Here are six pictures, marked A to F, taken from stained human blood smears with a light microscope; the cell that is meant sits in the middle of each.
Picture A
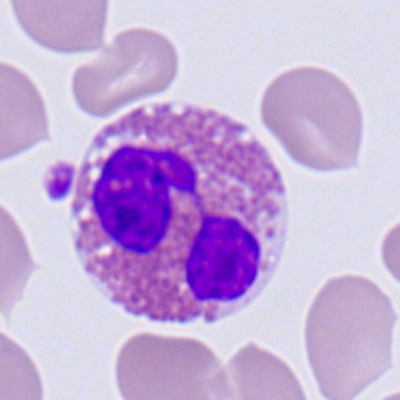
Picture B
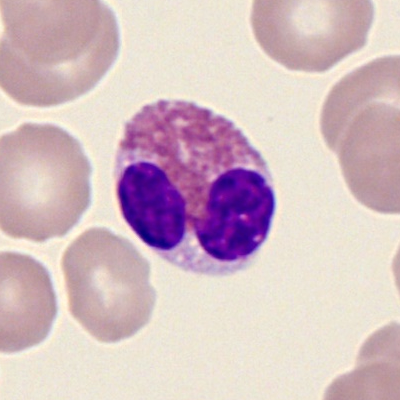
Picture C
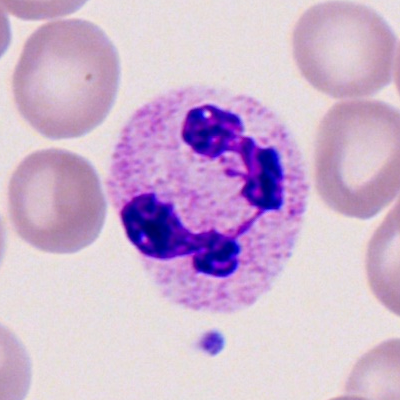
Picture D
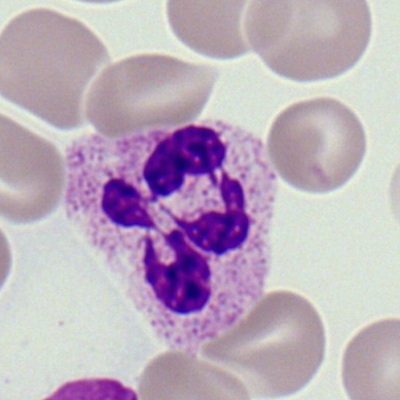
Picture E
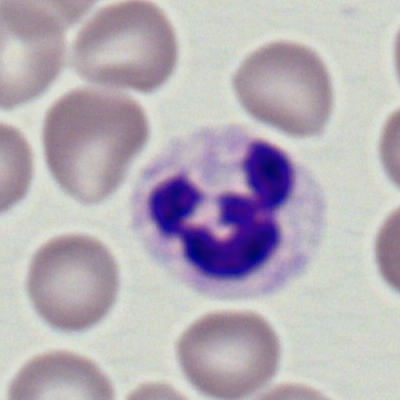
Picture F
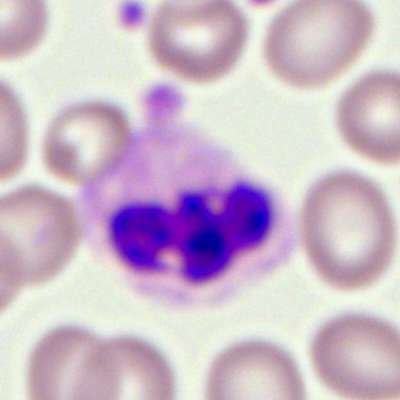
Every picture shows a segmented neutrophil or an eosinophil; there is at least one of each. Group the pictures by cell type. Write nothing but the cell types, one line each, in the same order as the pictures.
eosinophil
eosinophil
segmented neutrophil
segmented neutrophil
segmented neutrophil
segmented neutrophil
